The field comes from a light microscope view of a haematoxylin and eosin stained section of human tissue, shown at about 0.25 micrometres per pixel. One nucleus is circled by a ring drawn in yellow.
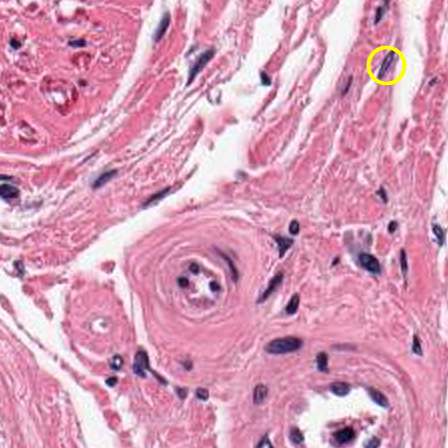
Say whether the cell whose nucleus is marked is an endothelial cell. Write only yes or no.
no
